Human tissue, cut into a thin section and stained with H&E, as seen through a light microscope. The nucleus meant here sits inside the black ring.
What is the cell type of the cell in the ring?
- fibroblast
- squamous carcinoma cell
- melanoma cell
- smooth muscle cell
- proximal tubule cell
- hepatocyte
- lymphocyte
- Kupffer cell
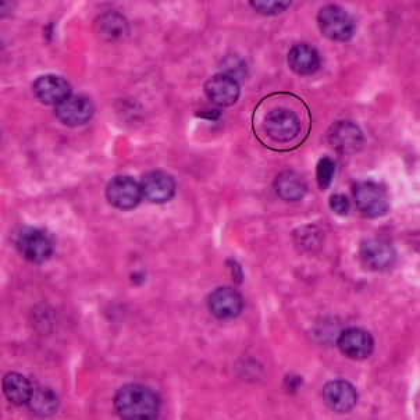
hepatocyte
